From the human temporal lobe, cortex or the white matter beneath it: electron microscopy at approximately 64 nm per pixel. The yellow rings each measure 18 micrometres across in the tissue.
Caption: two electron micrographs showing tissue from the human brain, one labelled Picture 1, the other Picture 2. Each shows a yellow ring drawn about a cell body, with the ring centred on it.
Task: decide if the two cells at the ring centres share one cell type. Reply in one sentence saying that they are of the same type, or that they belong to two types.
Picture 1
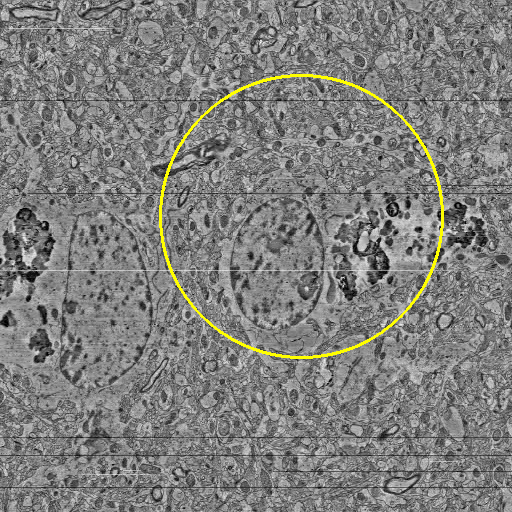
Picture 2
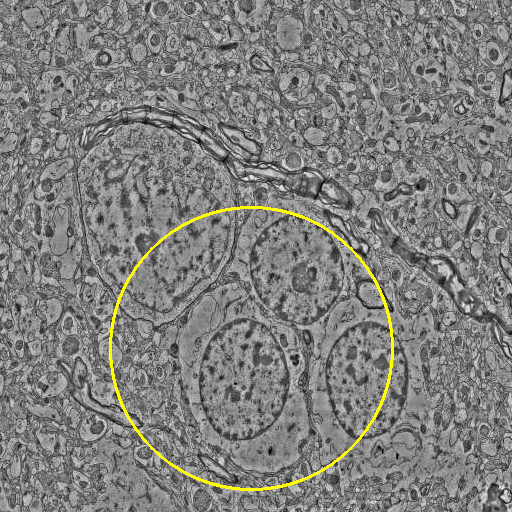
The cells at the ring centres in Picture 1 and Picture 2 are of the same type.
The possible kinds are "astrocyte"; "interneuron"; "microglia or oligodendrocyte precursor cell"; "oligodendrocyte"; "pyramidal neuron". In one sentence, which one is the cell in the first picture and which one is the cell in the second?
Each of the ringed cells, first and second, is an astrocyte.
